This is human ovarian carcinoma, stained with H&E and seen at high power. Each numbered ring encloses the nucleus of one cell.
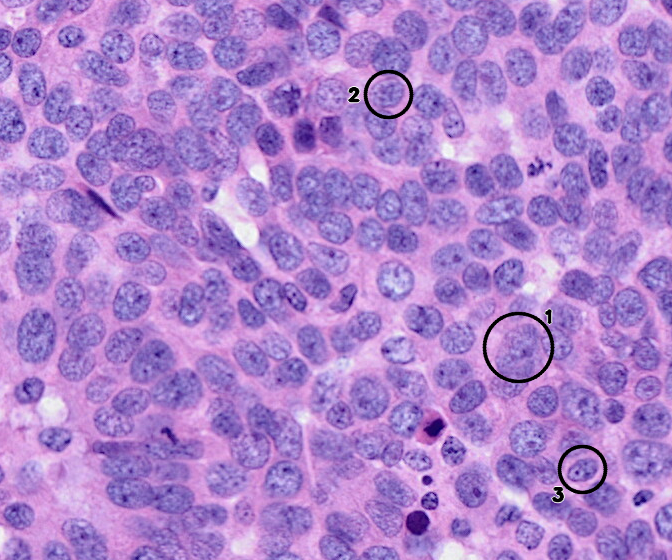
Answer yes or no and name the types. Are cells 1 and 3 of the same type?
No, cell 3 is a macrophage or monocyte, but cell 1 is a carcinoma cell.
